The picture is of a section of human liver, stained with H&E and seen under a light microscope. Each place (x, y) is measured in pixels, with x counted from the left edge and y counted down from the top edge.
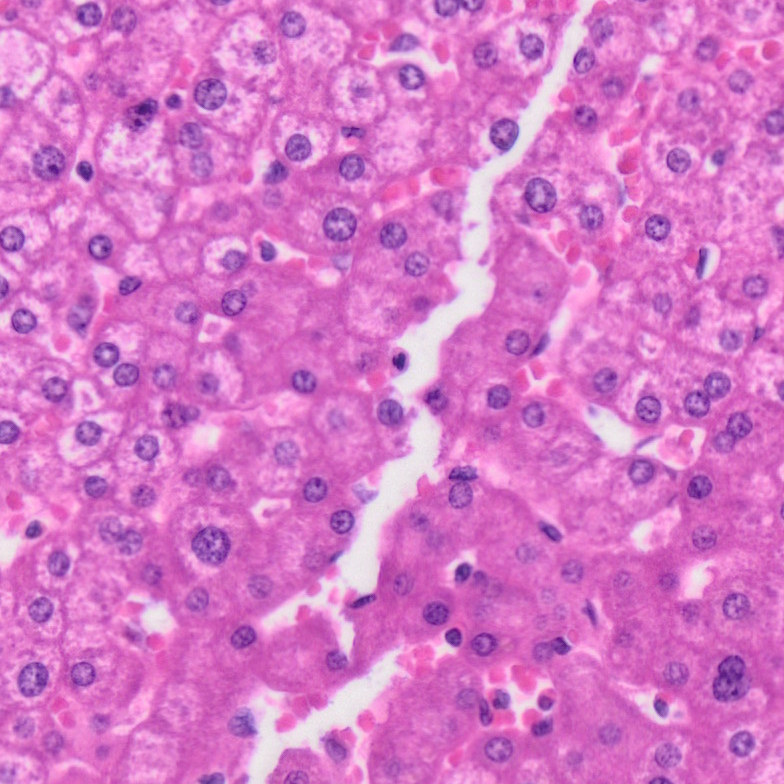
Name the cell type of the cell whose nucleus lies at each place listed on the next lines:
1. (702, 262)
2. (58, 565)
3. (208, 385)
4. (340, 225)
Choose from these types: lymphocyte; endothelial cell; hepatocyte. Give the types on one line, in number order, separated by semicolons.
endothelial cell; hepatocyte; hepatocyte; hepatocyte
